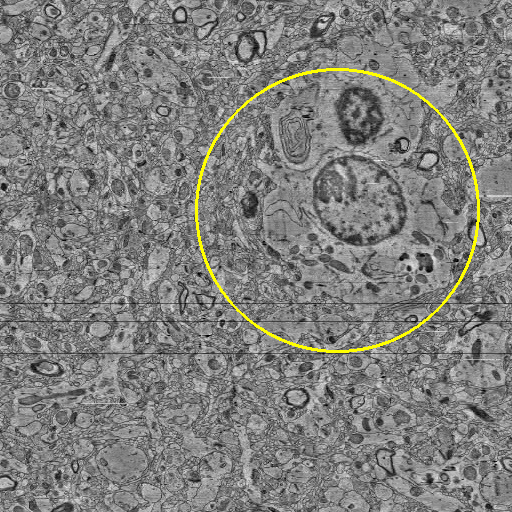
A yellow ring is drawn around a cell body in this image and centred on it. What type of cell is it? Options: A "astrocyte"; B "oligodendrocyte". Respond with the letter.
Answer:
A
